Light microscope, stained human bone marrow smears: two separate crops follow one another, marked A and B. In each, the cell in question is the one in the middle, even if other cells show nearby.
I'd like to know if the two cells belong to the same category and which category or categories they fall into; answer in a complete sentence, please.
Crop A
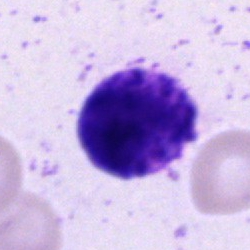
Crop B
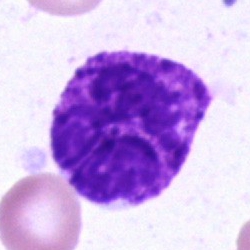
Yes, both crops show basophils, to put it briefly.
